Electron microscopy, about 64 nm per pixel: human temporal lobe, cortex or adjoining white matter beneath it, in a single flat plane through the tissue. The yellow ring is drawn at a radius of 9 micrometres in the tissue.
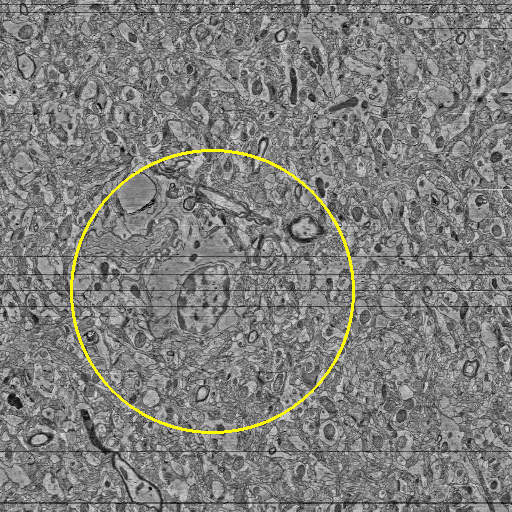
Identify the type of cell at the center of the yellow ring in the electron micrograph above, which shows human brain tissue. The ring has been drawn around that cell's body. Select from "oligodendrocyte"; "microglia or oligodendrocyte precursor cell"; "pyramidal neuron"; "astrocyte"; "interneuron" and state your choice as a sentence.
The yellow ring is centered on the body of a microglial cell or oligodendrocyte precursor cell.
